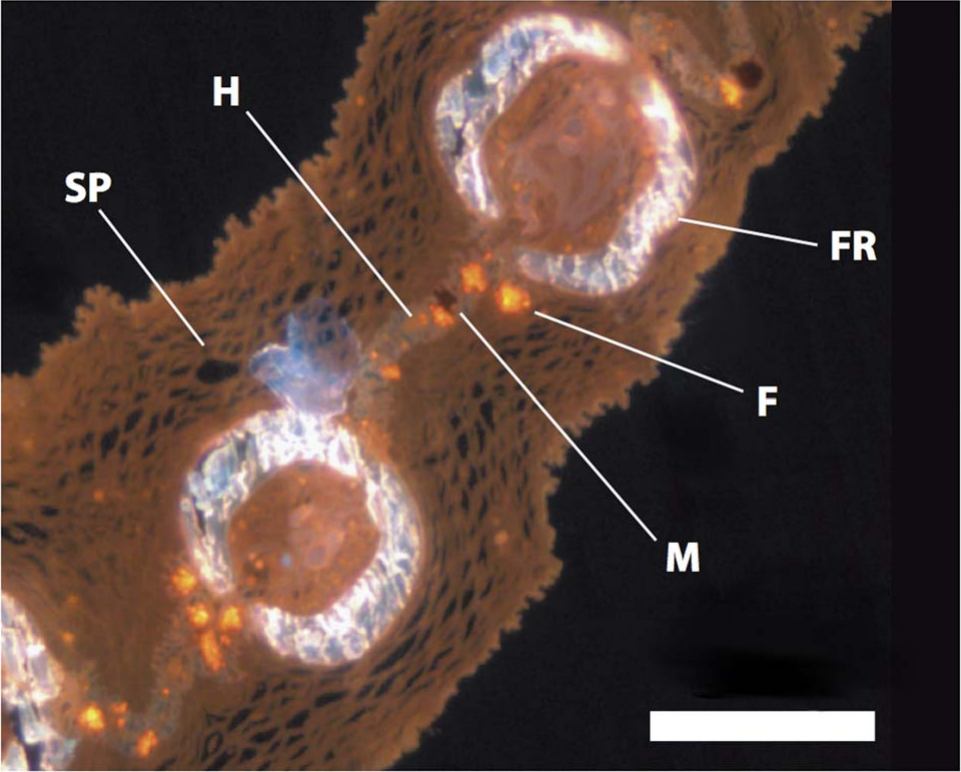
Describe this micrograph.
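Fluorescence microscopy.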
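This cross-section through a fish fin shows two fin rays as thick, bright white, glistening rings, each enclosing an orange-brown core. The rays are embedded in a brown tissue with a loose, net-like meshwork of dark spaces, the stratum spongiosum, which forms the body of the section. A narrow strip of paler tissue, the hypodermis, runs diagonally between the two rays. Small, intensely glowing orange to yellow spots, the fluorescent chromatophores, lie in clusters along this strip and beside the rays. A single small dark brown to black spot, a melanophore, sits among the orange spots between the rays. A pale bluish, irregular structure lies just above the lower ring.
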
